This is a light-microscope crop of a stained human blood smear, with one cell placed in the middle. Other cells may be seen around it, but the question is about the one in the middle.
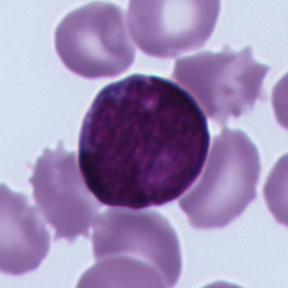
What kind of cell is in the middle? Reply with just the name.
myeloblast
